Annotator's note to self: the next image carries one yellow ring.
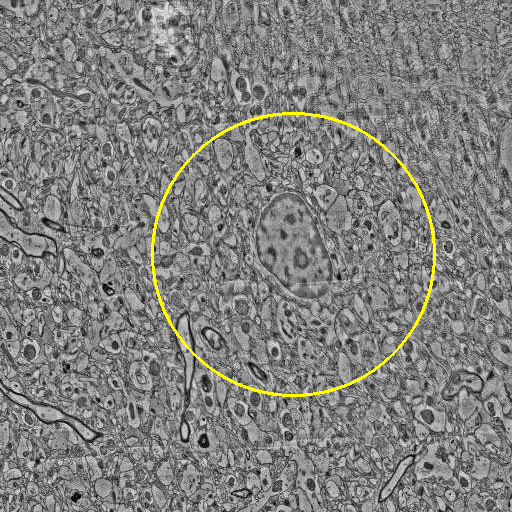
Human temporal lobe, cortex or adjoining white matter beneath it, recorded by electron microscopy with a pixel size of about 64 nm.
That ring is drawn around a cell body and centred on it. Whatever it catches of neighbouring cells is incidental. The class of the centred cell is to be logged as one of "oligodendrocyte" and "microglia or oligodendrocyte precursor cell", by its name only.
microglia or oligodendrocyte precursor cell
